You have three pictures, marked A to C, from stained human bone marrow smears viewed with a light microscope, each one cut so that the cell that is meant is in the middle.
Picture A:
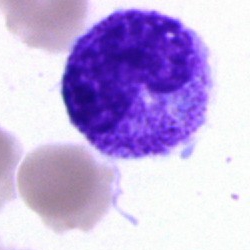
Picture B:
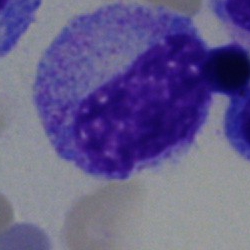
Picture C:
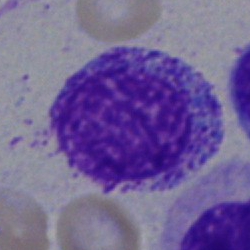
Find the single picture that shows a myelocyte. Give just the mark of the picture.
C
